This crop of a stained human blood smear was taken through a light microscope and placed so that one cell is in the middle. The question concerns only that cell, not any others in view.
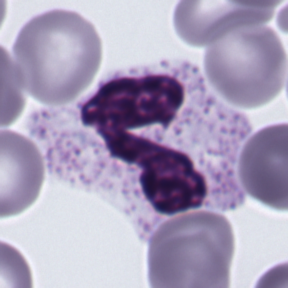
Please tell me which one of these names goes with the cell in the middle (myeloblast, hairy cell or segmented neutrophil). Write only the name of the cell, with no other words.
segmented neutrophil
